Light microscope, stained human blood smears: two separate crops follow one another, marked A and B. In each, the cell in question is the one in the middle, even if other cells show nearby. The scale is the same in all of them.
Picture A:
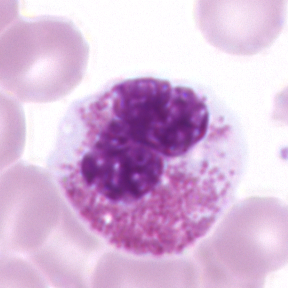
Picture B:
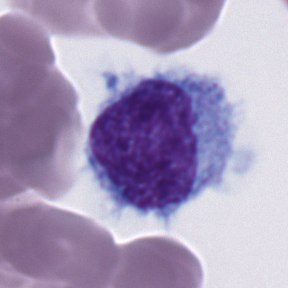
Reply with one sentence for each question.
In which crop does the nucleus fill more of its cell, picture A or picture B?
In picture B the nucleus takes up the larger part of its cell.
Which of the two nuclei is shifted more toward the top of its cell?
The nucleus in picture A lies further toward the top of its cell.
